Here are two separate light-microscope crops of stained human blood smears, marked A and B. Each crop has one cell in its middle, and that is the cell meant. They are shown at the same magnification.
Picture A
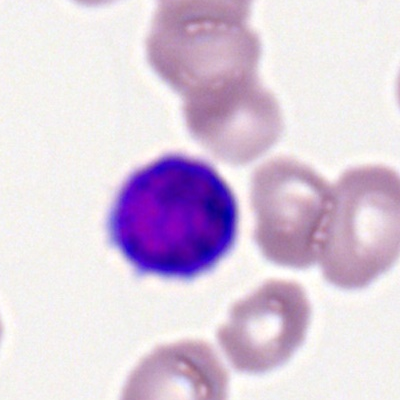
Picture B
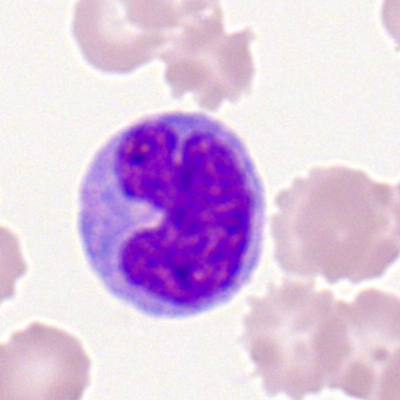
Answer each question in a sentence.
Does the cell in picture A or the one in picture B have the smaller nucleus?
Picture A shows the smaller nucleus, since that in picture B covers about 1.5 times as much area.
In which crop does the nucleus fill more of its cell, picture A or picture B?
The nucleus fills more of the cell in picture A than in picture B.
